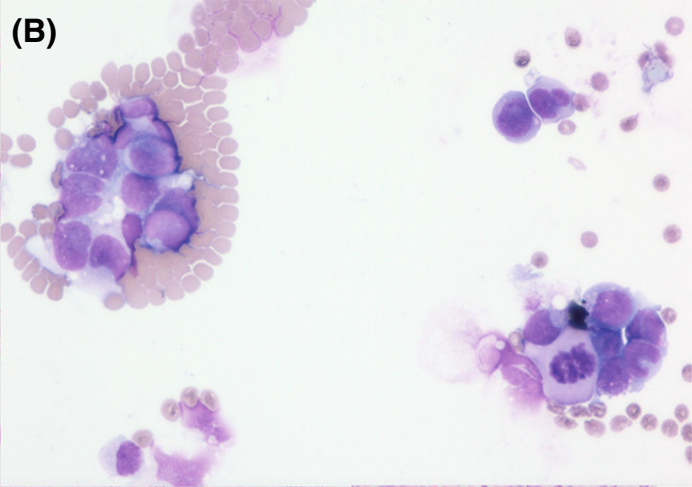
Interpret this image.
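The cells are many times larger than the red blood cells, with round to irregular purple nuclei and moderate pale bluish cytoplasm, some of it finely vacuolated. In the lower right group one cell holds clumped dark chromosomes of a mitotic figure.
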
